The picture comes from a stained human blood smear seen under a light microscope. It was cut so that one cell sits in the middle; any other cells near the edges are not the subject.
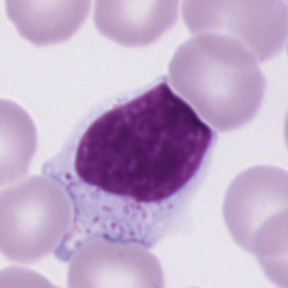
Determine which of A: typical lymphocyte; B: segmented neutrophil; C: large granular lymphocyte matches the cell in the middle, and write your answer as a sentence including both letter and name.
In this crop the central cell is a large granular lymphocyte, which option C correctly states.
